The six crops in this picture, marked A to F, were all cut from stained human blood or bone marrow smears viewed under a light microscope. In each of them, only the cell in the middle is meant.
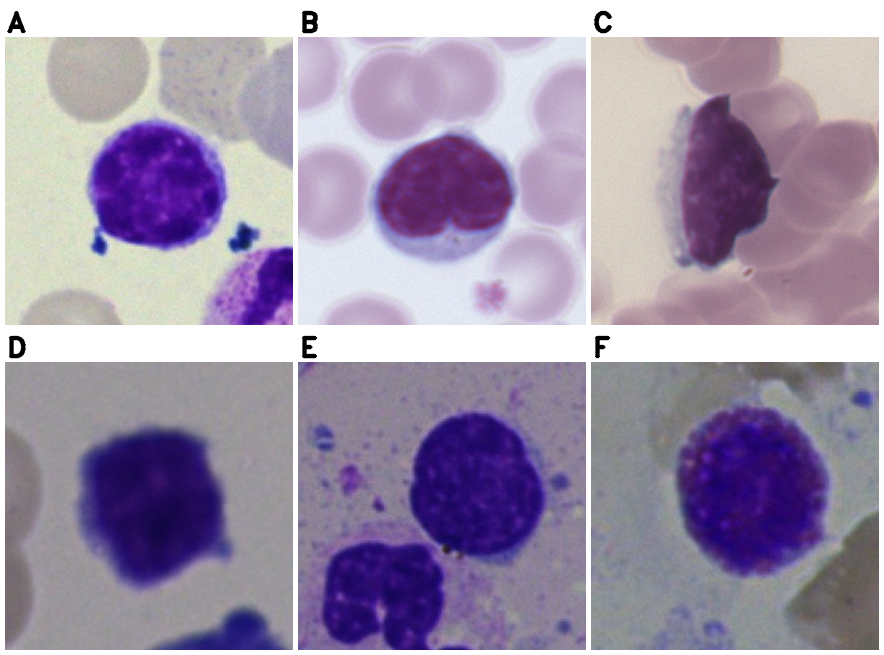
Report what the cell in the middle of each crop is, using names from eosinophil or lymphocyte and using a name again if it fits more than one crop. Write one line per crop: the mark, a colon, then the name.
A: lymphocyte
B: lymphocyte
C: lymphocyte
D: lymphocyte
E: lymphocyte
F: eosinophil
